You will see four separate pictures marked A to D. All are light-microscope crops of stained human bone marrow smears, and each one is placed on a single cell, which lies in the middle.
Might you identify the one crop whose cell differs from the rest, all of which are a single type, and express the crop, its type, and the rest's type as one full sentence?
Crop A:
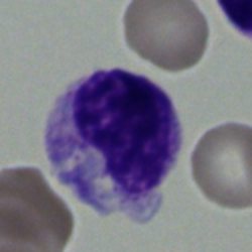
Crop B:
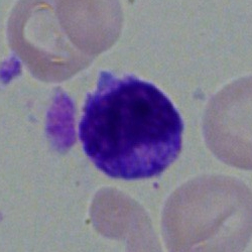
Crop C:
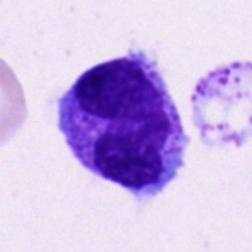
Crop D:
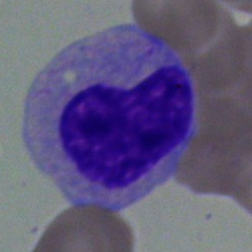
Apart from crop B, which shows a myelocyte, every crop shows metamyelocytes.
